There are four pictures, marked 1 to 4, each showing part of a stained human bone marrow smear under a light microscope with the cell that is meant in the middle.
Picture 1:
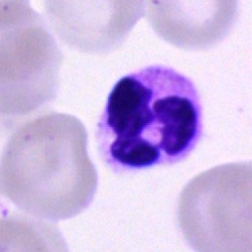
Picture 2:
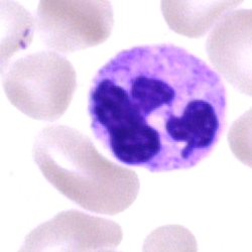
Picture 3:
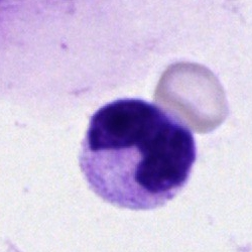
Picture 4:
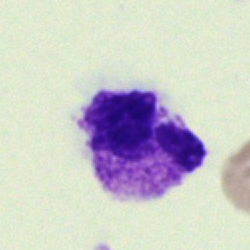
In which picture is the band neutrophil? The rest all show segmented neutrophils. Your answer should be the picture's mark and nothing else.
3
